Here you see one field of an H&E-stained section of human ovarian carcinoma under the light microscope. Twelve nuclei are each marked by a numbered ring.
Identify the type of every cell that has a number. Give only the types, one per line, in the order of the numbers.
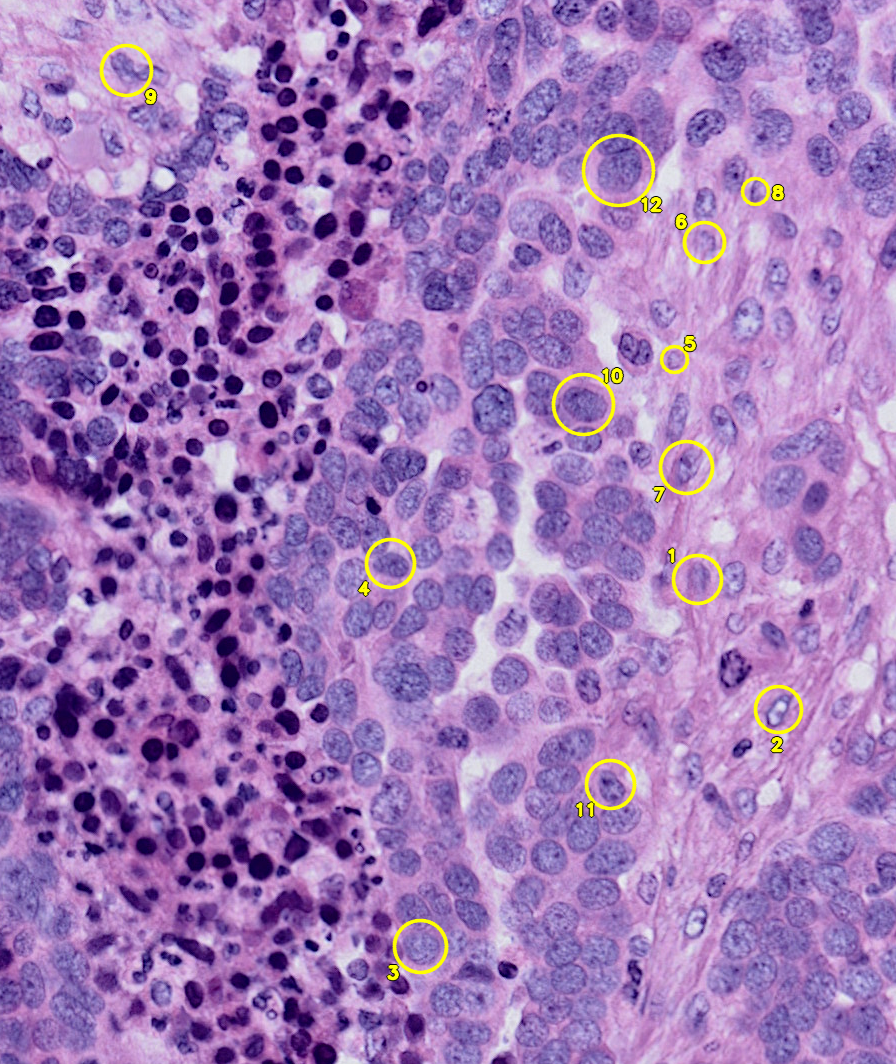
fibroblast
fibroblast
carcinoma cell
carcinoma cell
fibroblast
fibroblast
fibroblast
fibroblast
fibroblast
carcinoma cell
macrophage or monocyte
carcinoma cell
